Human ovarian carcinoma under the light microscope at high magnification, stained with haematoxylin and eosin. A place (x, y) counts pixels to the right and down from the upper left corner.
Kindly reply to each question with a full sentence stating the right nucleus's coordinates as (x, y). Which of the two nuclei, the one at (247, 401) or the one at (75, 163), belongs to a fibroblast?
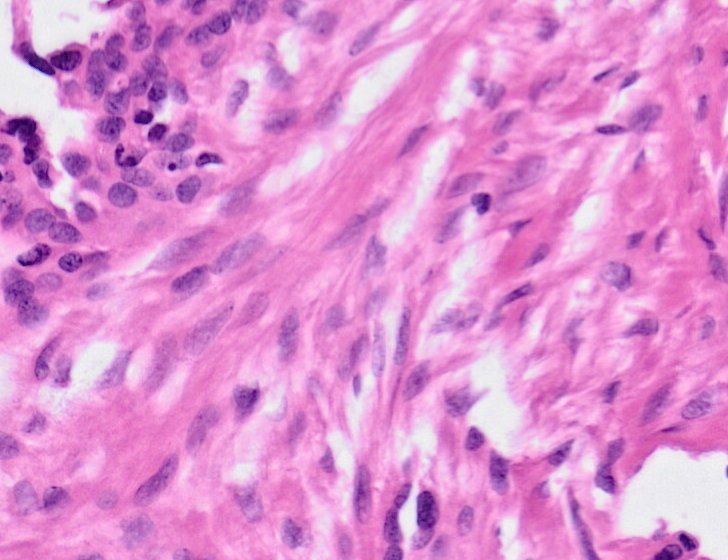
Between the pair, the nucleus at (247, 401) belongs to a fibroblast.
